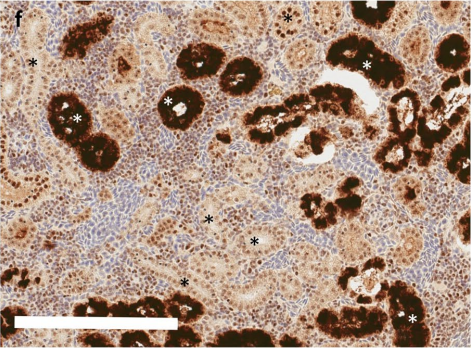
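Fish kidney with tubular profiles set in sheets of small, round, blue-nucleated interstitial cells. A subset of the tubules have intensely dark-brown epithelial cytoplasm filling the whole wall around small round lumens. Other tubules, lined by paler cuboidal cells with round nuclei, stain only light tan. Asterisks mark both sorts of profile, white within the dark ones and black beside the pale ones. Scattered nuclei in the interstitium also take up brown. The intertubular tissue is otherwise blue and densely cellular.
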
